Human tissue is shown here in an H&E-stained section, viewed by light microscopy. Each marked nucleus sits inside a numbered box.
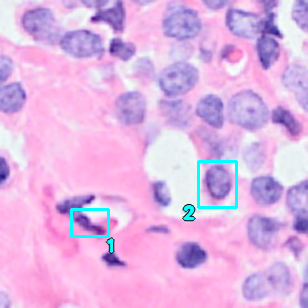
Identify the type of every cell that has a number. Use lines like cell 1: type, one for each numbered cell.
cell 1: endothelial cell
cell 2: carcinoma cell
